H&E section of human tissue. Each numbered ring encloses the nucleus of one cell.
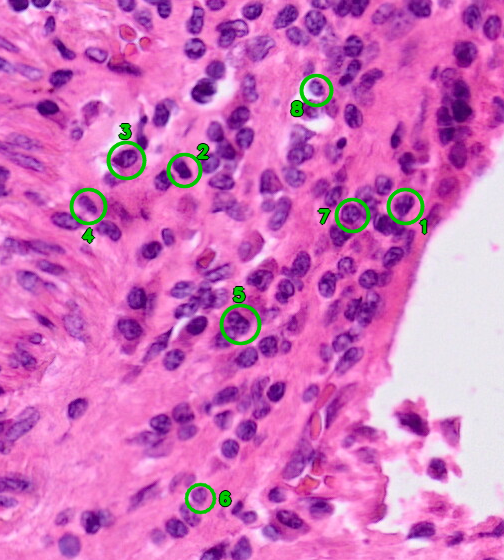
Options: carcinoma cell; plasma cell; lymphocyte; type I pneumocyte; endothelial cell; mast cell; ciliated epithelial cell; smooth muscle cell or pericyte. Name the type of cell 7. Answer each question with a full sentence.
The cell carrying label 7 is identified as a lymphocyte.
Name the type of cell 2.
In the tissue shown, cell 2 is a lymphocyte.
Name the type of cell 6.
Cell 6 in the field of view is a lymphocyte.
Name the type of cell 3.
The cell given label 3 is a plasma cell.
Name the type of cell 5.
Numbered cell 5 is a plasma cell in this tissue section.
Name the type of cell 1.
That cell with number 1 is a lymphocyte.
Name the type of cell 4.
The label 4 in this section denotes a plasma cell.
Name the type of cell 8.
Cell 8 is classified as a lymphocyte.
